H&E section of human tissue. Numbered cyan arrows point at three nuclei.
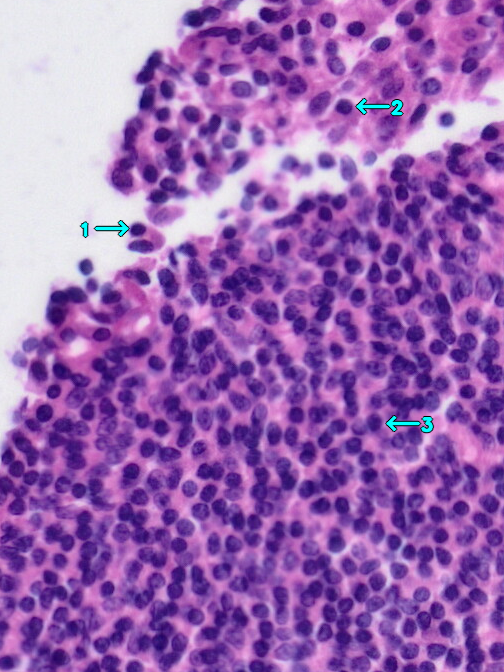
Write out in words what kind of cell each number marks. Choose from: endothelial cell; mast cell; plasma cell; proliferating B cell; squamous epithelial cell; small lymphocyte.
Cell 1 is a small lymphocyte, cell 2 is a plasma cell and cell 3 is a small lymphocyte.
